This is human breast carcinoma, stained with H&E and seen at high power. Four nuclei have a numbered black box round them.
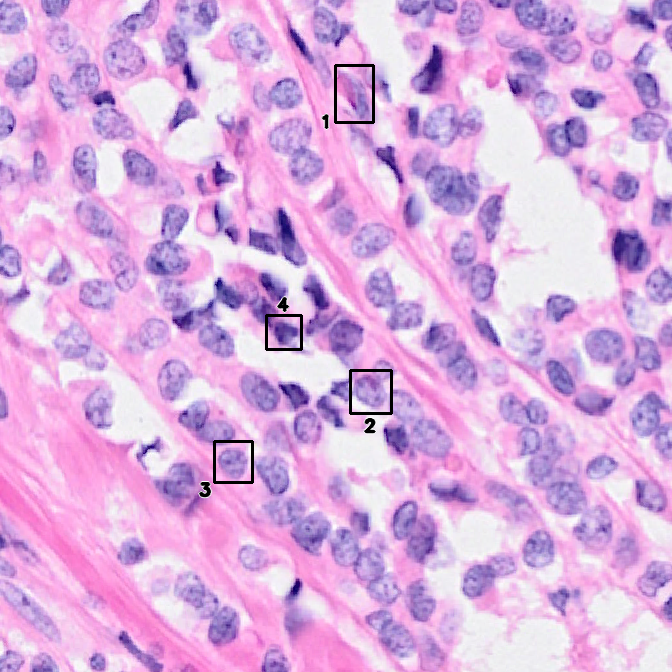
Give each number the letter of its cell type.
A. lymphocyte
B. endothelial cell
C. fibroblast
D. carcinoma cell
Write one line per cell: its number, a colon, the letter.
1: B
2: D
3: D
4: D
